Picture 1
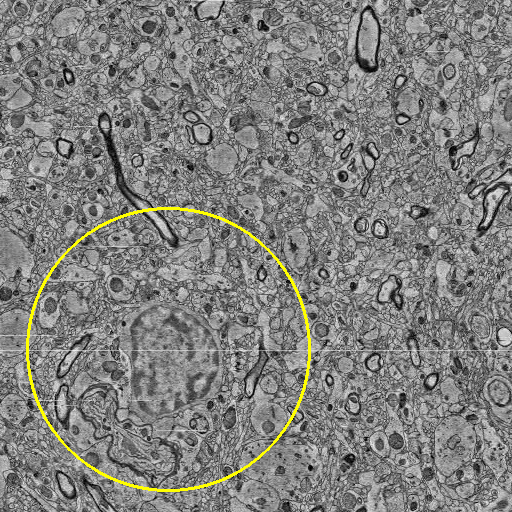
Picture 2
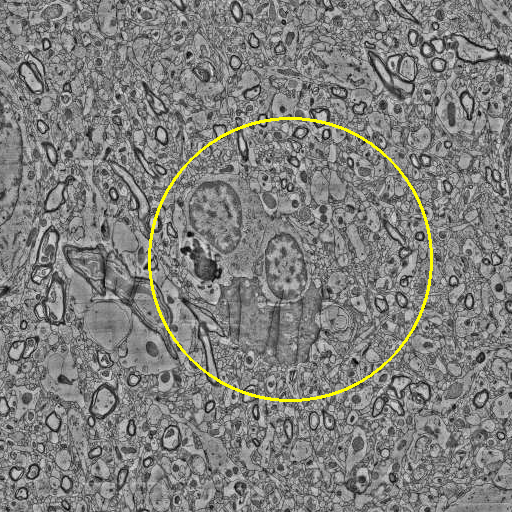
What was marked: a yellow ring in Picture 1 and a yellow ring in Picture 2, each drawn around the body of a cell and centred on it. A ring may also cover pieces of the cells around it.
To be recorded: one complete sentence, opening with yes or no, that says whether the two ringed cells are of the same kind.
Yes, the two ringed cells are of the same kind.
